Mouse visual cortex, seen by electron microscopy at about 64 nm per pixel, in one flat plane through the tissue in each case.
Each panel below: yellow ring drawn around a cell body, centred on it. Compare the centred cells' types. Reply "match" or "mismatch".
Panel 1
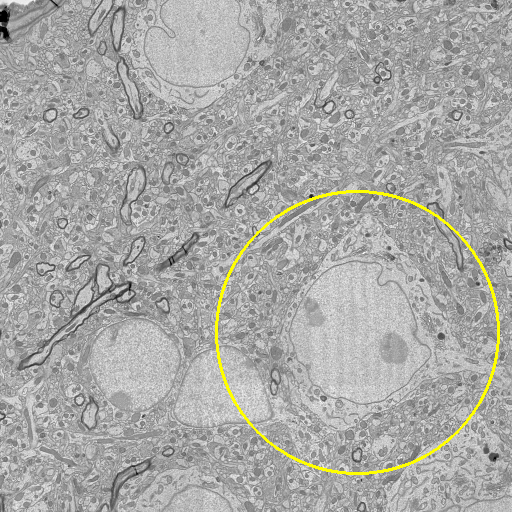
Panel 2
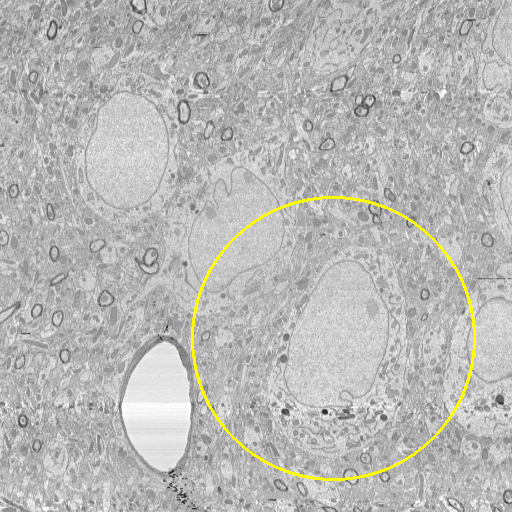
mismatch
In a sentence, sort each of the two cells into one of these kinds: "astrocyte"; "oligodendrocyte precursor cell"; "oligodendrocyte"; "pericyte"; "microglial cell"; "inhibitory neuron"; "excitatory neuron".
The first of the two cells is an excitatory neuron, and the second is an inhibitory neuron.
